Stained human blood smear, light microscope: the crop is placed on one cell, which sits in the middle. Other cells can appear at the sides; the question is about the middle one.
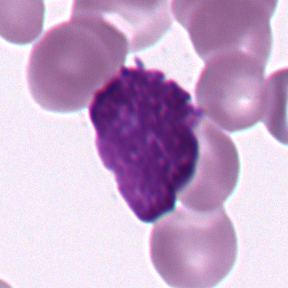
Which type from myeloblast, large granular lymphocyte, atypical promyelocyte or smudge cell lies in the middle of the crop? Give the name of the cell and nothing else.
smudge cell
